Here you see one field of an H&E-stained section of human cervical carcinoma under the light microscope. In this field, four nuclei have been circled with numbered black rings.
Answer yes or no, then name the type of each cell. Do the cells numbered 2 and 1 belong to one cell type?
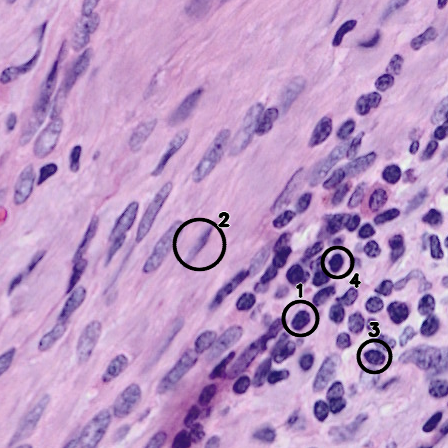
No, the correct reading has cell 2 as a fibroblast and cell 1 as a lymphocyte.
